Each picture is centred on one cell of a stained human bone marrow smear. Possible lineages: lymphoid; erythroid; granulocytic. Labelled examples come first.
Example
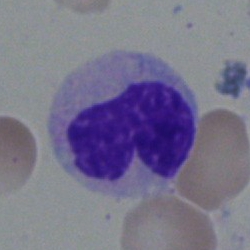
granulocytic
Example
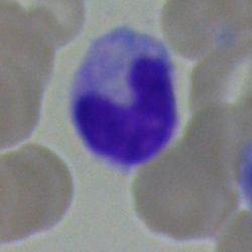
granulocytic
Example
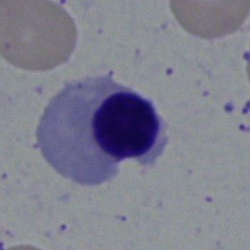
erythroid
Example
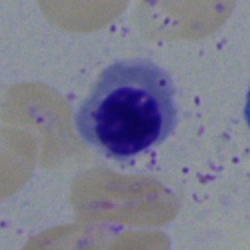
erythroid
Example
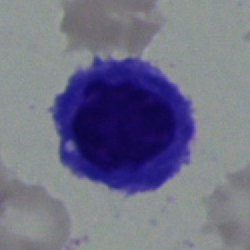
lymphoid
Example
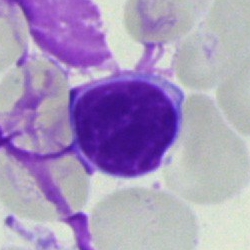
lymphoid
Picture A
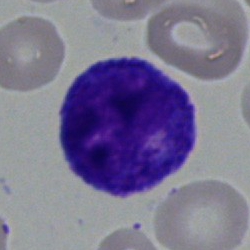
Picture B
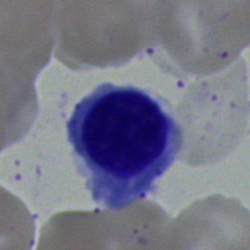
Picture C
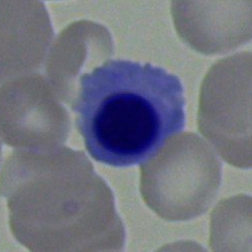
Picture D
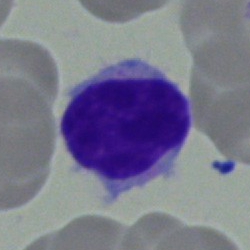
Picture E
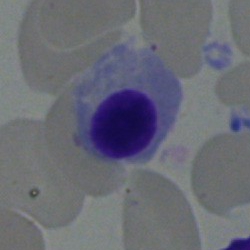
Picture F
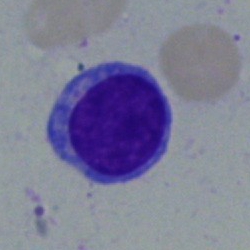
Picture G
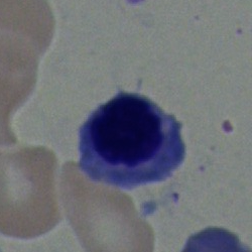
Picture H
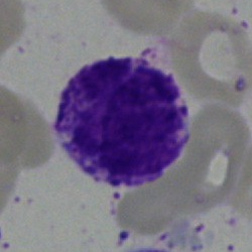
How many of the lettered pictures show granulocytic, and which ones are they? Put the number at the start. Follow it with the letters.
Count: 2 (A, H)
